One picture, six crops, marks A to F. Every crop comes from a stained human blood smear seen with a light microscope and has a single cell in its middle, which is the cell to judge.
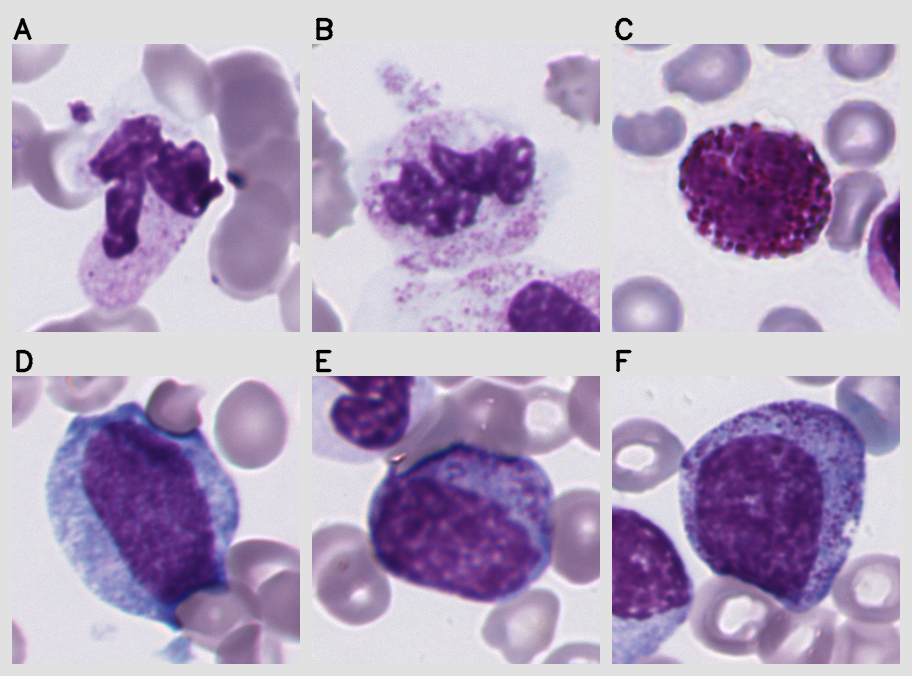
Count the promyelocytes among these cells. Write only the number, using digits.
3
